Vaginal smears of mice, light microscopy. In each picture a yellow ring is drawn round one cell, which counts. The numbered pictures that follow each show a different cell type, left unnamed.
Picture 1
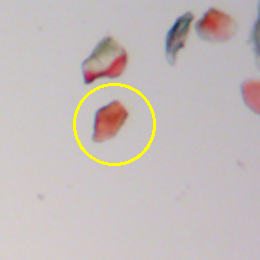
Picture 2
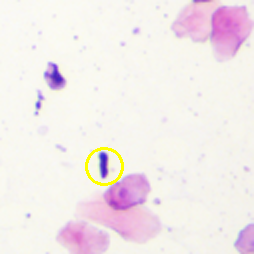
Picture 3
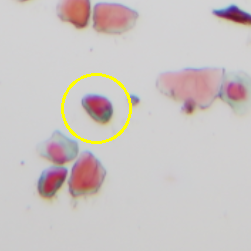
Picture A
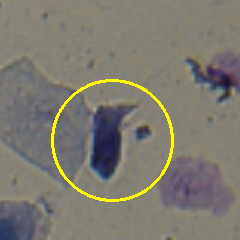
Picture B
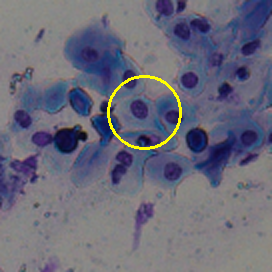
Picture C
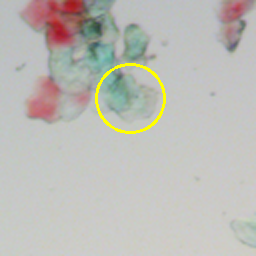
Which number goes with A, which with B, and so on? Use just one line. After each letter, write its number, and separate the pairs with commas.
A 1, B 3, C 1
